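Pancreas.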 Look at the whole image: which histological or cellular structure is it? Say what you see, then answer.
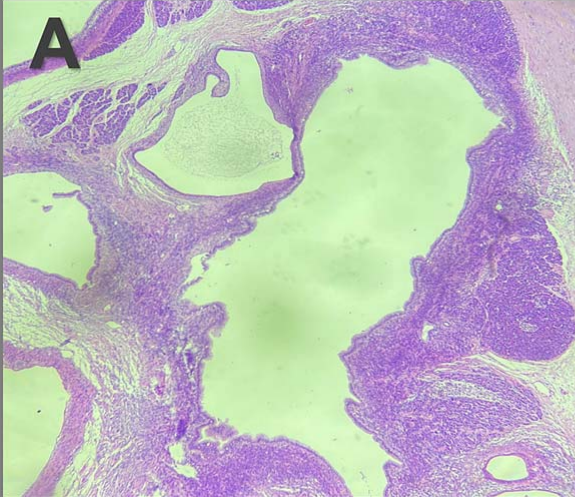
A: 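Cystic lesion. The spaces are separated by bands of purple-staining tissue.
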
